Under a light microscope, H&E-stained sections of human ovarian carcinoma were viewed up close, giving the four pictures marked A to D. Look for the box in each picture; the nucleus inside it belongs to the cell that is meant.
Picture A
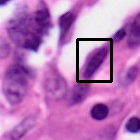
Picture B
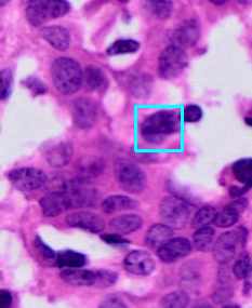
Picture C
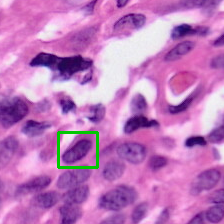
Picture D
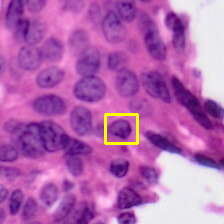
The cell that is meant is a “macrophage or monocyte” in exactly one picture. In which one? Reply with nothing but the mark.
D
